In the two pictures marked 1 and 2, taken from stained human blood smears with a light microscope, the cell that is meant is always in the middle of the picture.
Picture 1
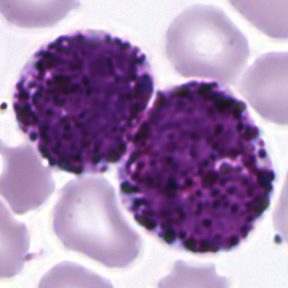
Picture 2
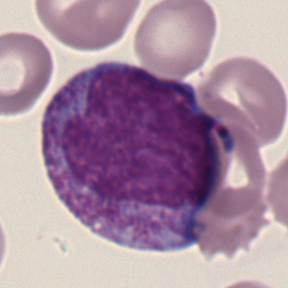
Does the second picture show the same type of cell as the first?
no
